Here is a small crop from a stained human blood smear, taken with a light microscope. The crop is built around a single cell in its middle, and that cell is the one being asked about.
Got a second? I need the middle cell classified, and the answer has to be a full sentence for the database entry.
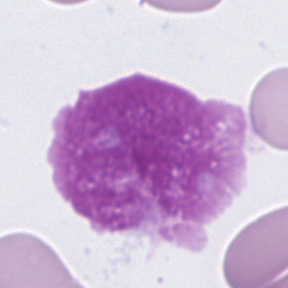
Occupying the centre of the crop is a smudge cell.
